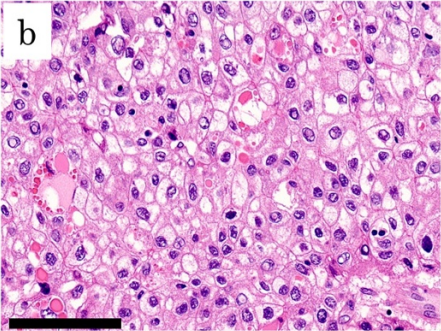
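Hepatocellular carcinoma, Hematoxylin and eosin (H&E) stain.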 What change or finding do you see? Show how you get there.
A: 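Round, glassy, bright pink globules lie inside several tumour cells. The globules are sharply bounded and homogeneous. On this evidence: intracytoplasmic hyaline droplets.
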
